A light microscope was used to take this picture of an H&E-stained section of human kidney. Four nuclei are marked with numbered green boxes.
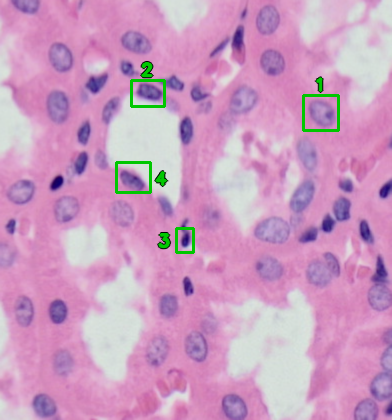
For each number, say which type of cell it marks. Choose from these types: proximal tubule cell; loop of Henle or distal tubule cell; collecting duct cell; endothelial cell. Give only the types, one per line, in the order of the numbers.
proximal tubule cell
loop of Henle or distal tubule cell
endothelial cell
loop of Henle or distal tubule cell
